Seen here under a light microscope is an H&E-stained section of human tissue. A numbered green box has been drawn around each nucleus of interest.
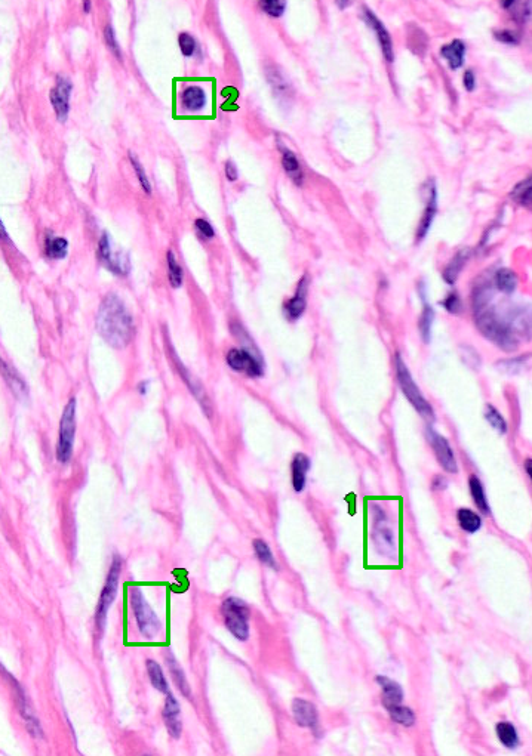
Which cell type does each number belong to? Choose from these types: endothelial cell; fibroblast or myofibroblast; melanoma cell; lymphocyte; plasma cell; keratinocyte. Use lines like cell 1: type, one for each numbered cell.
cell 1: fibroblast or myofibroblast
cell 2: lymphocyte
cell 3: fibroblast or myofibroblast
